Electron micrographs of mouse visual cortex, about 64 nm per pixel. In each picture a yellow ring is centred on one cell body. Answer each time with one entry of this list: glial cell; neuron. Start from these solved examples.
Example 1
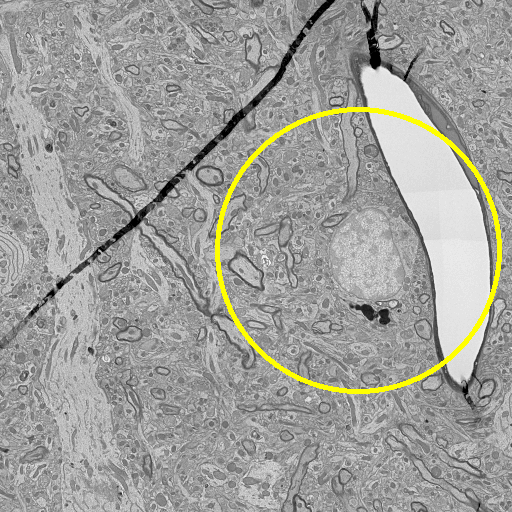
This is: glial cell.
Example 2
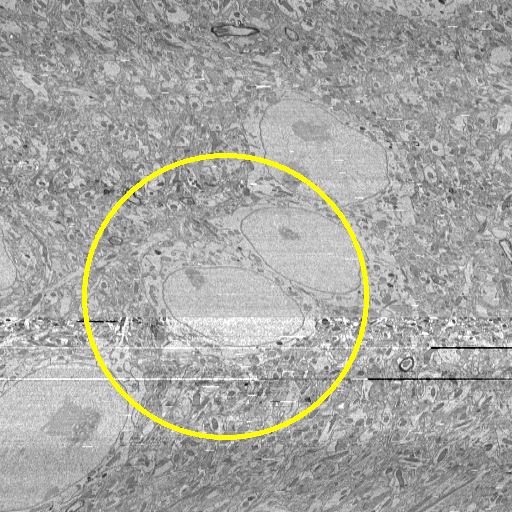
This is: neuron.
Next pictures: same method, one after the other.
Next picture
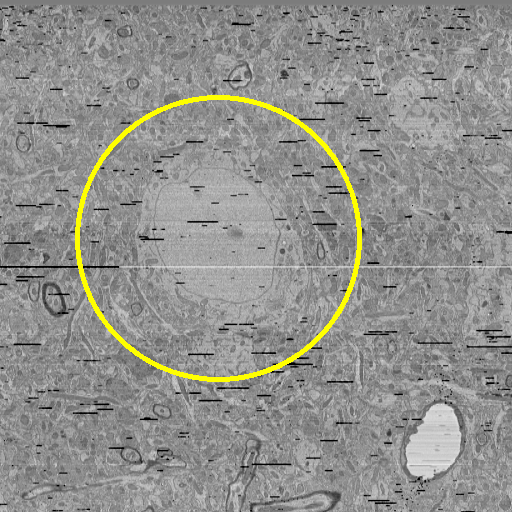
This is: neuron.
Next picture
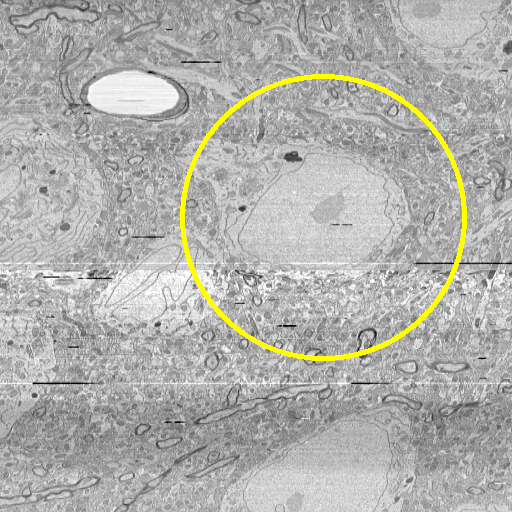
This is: neuron.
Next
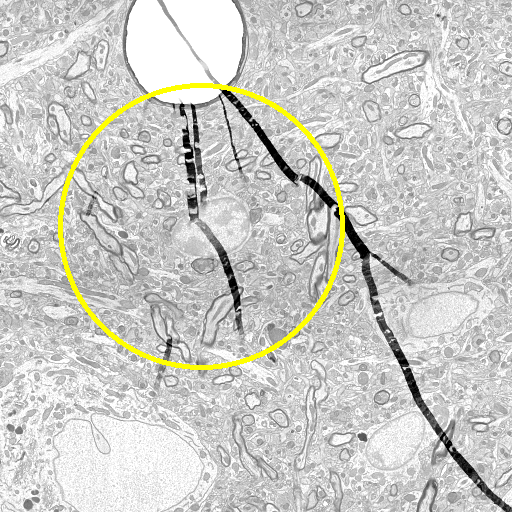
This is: glial cell.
